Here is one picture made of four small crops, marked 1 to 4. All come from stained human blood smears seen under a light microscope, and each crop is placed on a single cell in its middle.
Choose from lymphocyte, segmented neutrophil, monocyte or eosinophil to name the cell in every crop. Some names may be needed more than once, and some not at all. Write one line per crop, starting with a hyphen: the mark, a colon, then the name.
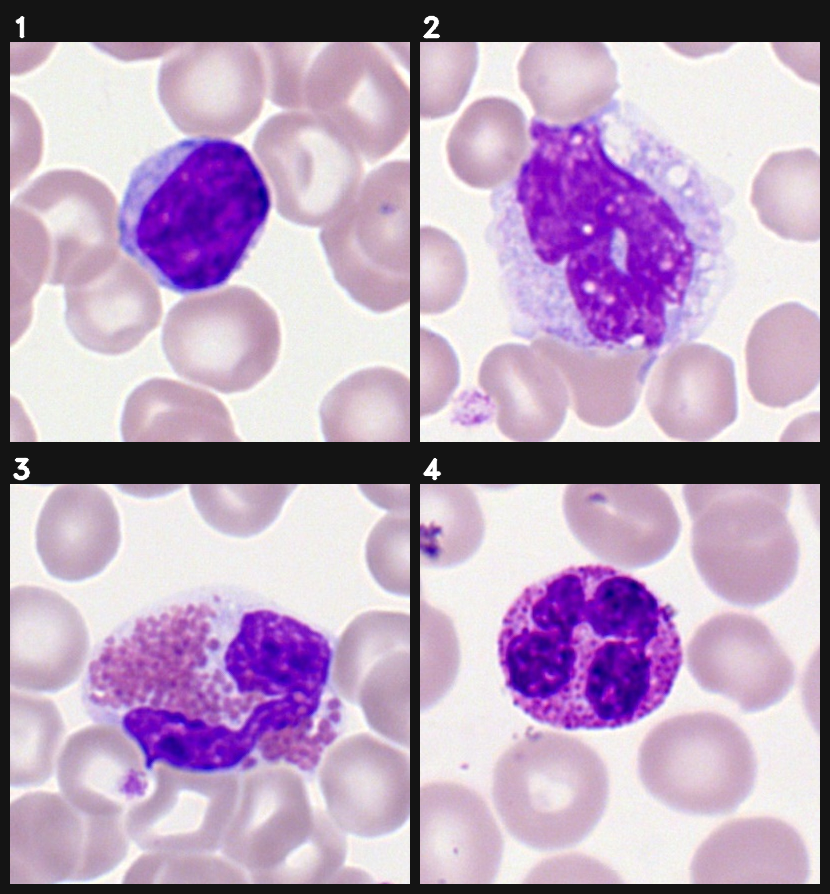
- 1: lymphocyte
- 2: monocyte
- 3: eosinophil
- 4: eosinophil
